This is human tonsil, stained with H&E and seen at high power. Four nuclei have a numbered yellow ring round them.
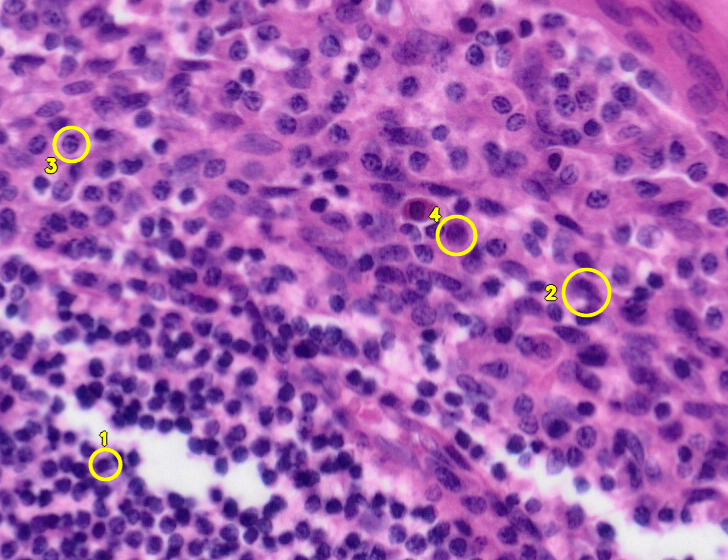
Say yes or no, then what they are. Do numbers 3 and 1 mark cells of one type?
No, cell 1 is a small lymphocyte, and cell 3 is a plasma cell.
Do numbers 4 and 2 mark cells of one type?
Yes, note that cells 4 and 2 are both squamous epithelial cells.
